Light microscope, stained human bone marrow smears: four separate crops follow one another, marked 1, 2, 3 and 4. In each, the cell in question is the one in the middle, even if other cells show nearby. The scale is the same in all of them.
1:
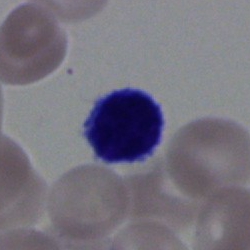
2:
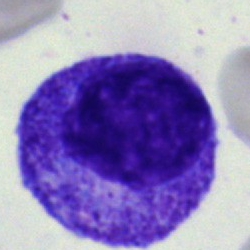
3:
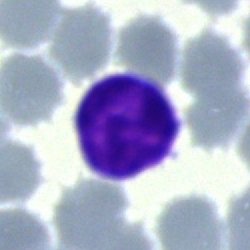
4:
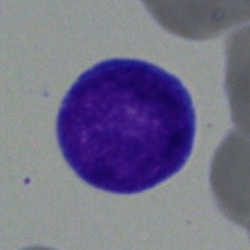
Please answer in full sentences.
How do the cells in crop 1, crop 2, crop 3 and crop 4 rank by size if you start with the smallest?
Smallest first: 1, 3, 4, 2.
